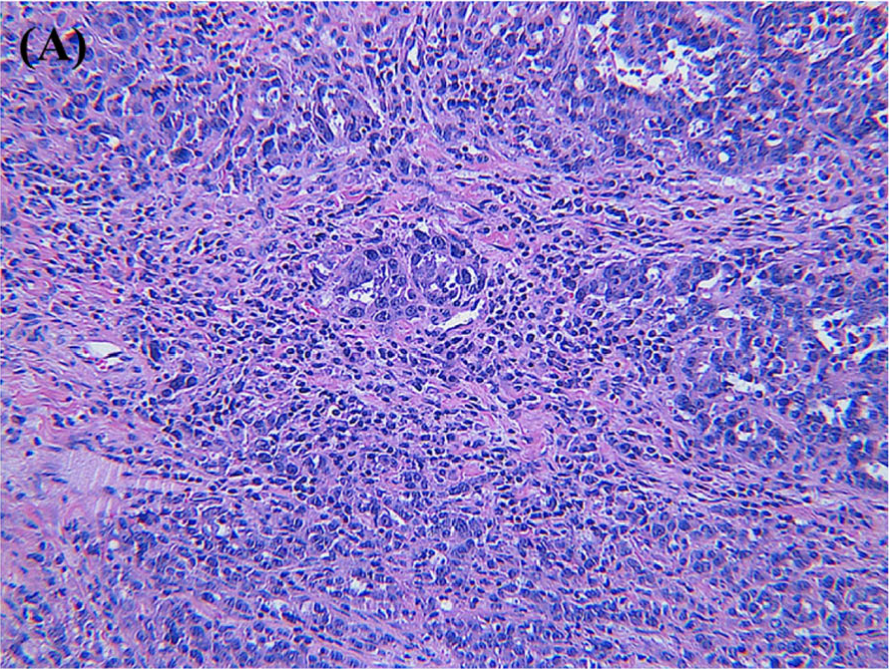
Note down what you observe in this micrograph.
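This is a tumor whose nests of large epithelial cells, some forming small gland-like spaces, sit in a stroma that is heavily infiltrated by lymphocytes. The lymphocytes are small cells with round, dense dark-blue nuclei and hardly any cytoplasm, packed densely between and around the tumor nests, whose cells have larger, paler nuclei.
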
